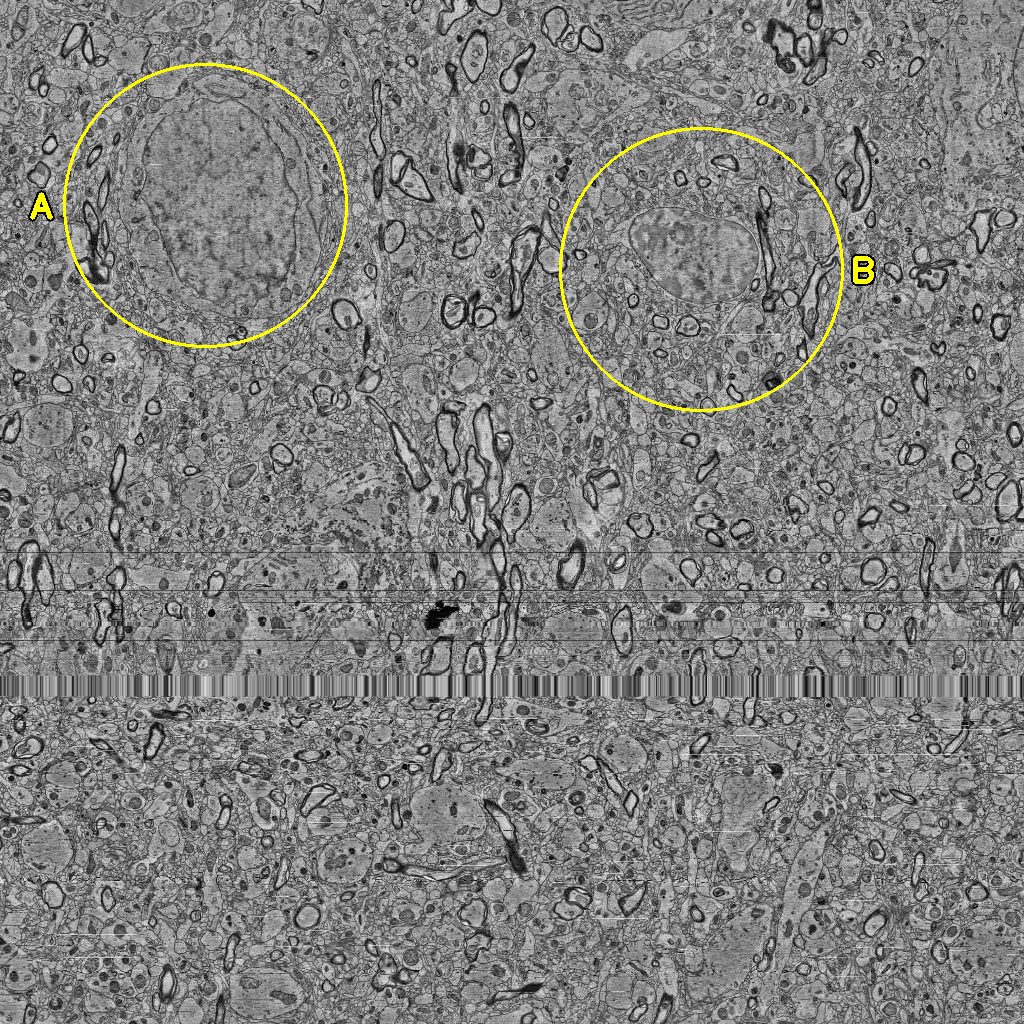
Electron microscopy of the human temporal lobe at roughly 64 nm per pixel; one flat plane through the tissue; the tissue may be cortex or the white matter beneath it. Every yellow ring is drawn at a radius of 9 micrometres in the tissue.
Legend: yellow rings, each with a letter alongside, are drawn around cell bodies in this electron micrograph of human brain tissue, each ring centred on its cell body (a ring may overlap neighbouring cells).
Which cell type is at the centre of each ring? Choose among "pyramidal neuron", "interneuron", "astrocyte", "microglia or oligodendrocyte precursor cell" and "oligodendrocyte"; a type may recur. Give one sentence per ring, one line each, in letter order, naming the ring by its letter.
Ring A has an interneuron at its centre.
Ring B has a microglial cell or oligodendrocyte precursor cell at its centre.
